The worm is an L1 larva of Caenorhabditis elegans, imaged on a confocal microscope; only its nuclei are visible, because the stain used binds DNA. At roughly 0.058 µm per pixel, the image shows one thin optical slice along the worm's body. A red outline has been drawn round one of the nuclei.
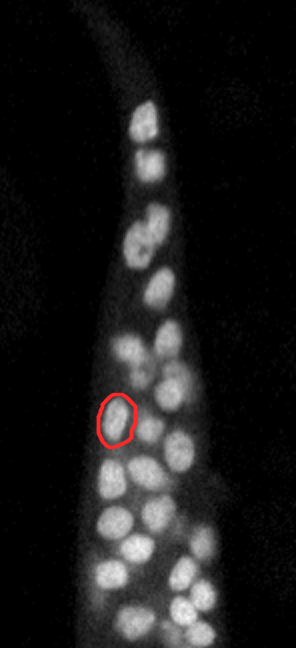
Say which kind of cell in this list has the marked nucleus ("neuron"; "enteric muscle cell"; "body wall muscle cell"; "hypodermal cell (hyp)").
body wall muscle cell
